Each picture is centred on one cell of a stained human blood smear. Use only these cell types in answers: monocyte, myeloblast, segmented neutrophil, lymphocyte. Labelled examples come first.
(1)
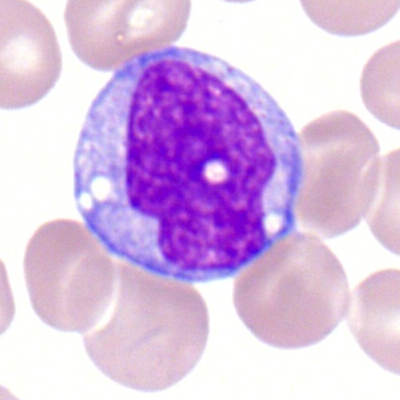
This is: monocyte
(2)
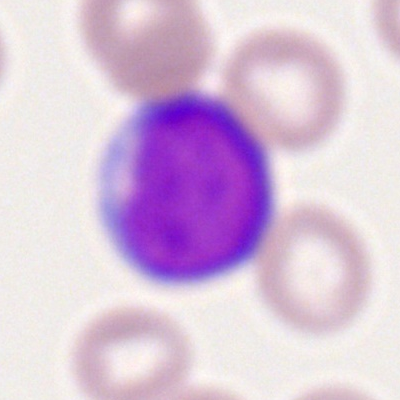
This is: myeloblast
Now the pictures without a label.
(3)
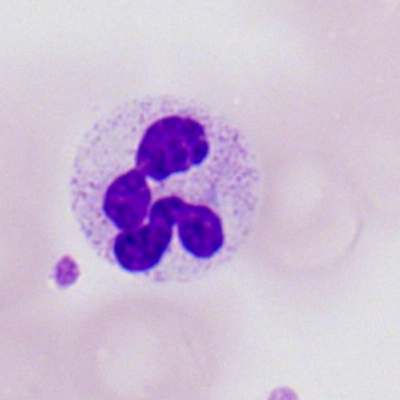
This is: segmented neutrophil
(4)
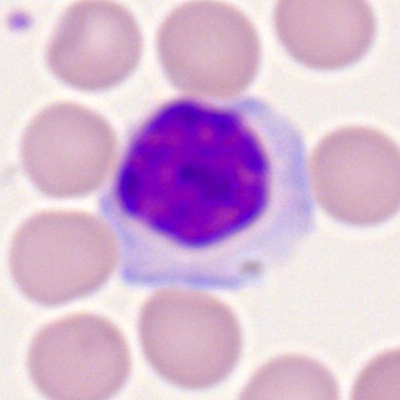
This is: lymphocyte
